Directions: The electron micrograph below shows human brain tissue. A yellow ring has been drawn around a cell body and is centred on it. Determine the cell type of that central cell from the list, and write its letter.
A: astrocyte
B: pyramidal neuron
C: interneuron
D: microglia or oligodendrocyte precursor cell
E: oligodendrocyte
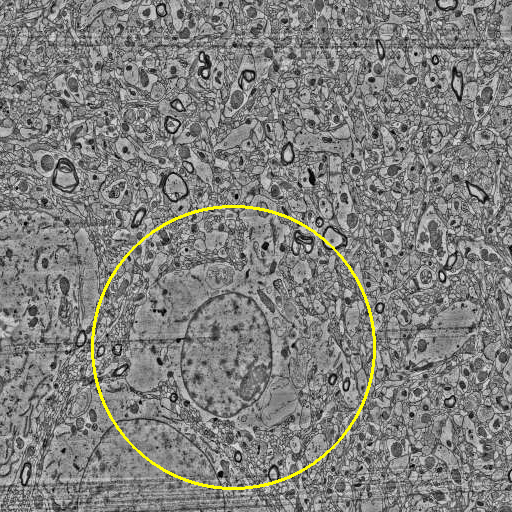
A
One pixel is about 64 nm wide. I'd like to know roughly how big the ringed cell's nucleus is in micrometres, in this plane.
In this plane the nucleus spans approximately 8 by 6 micrometers.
